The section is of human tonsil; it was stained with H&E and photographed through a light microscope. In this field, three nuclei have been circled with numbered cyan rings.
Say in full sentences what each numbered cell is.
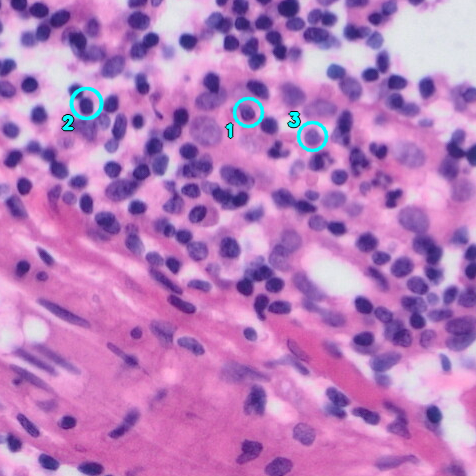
Cells 1 and 3 are endothelial cells. Cell 2 is a small lymphocyte.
